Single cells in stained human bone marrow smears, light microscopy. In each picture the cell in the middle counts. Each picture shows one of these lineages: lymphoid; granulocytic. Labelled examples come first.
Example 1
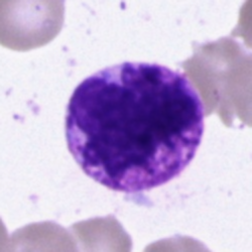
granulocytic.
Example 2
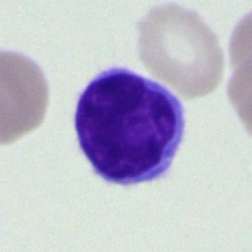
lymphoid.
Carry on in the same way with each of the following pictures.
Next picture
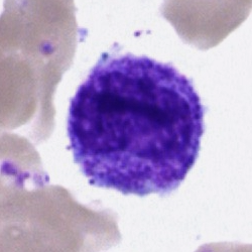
granulocytic.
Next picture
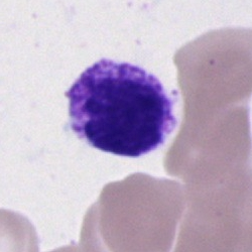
granulocytic.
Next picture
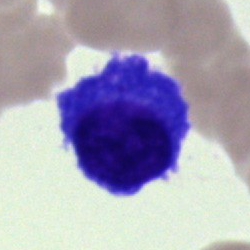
lymphoid.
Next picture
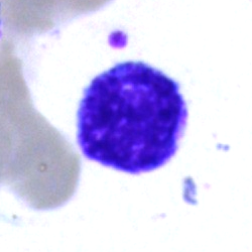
lymphoid.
